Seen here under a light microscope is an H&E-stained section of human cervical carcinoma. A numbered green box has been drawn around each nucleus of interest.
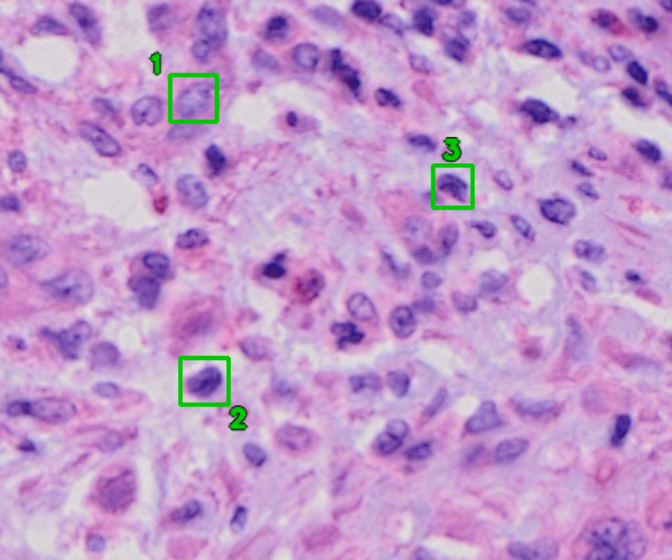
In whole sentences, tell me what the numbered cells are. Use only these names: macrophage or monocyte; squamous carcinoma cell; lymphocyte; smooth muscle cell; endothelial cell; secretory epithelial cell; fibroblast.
Cell 1 is an endothelial cell. Cells 2 and 3 are lymphocytes.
